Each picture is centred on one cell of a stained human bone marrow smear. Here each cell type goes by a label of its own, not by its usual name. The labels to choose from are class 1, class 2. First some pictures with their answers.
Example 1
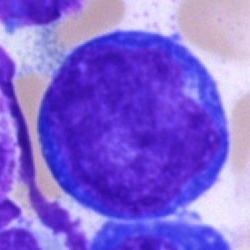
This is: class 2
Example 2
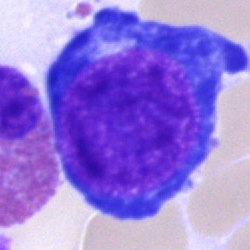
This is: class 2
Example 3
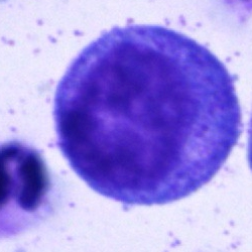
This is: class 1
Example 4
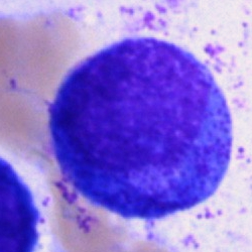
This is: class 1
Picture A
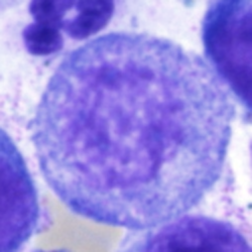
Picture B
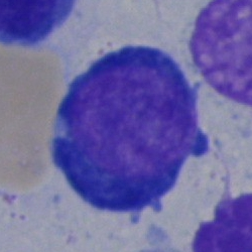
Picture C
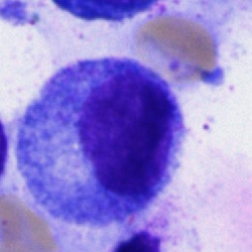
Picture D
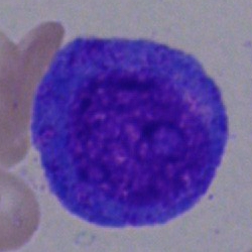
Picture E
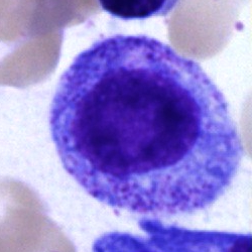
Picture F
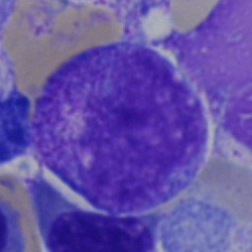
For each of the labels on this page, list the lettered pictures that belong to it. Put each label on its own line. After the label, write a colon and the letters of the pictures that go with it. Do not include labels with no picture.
class 1: A, C, D, E, F
class 2: B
